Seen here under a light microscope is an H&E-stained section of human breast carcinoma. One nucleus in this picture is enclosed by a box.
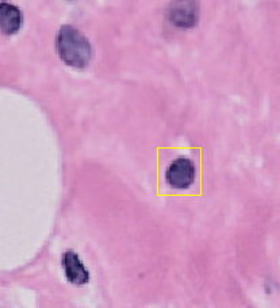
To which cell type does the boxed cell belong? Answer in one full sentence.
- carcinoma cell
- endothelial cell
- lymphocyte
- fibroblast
Speaking plainly, the boxed cell is nothing other than a lymphocyte.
